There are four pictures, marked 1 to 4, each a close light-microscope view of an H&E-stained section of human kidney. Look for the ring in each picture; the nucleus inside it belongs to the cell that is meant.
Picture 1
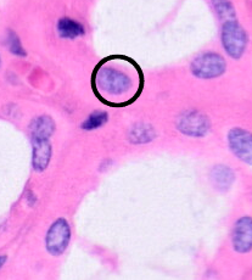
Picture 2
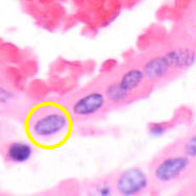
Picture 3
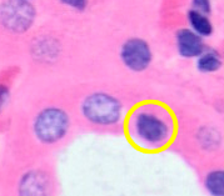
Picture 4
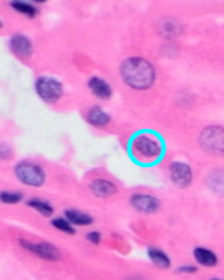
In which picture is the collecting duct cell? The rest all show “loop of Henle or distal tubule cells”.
2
